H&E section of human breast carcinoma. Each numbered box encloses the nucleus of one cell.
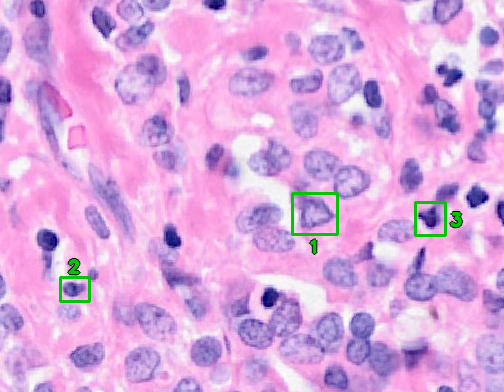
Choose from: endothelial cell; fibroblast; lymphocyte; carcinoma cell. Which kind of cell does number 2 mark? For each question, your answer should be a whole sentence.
The cell carrying label 2 is identified as a lymphocyte.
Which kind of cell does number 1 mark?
It is as a carcinoma cell that the cell numbered 1 is identified.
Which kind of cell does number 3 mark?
The marked cell with the number 3 is recognised as a lymphocyte.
